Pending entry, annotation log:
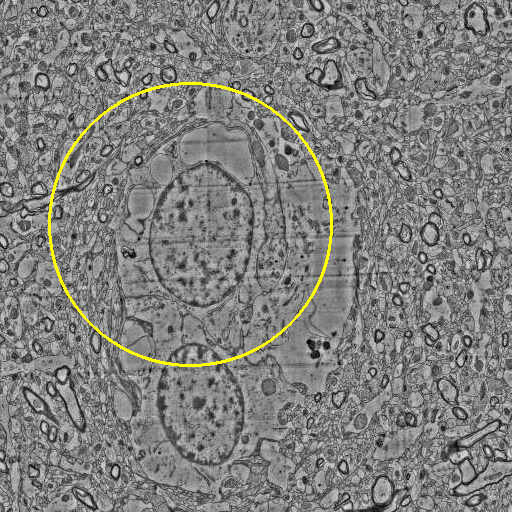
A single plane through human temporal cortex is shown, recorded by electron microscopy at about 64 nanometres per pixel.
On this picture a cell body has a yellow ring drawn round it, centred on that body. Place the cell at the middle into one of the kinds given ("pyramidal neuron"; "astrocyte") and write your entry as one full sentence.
The cell body at the middle of the yellow ring belongs to an astrocyte.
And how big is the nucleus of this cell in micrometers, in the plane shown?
The nucleus works out at approximately 9 by 7 micrometres in this plane.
